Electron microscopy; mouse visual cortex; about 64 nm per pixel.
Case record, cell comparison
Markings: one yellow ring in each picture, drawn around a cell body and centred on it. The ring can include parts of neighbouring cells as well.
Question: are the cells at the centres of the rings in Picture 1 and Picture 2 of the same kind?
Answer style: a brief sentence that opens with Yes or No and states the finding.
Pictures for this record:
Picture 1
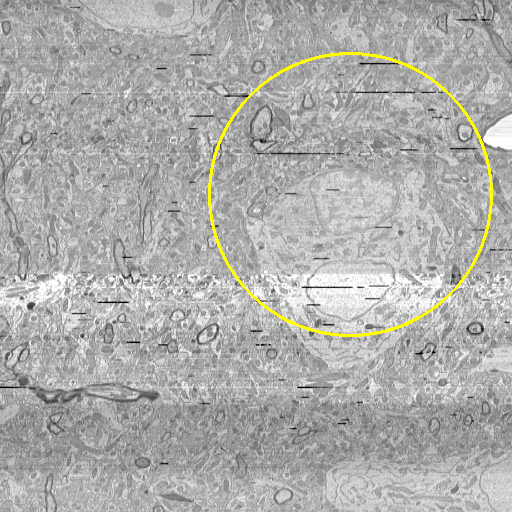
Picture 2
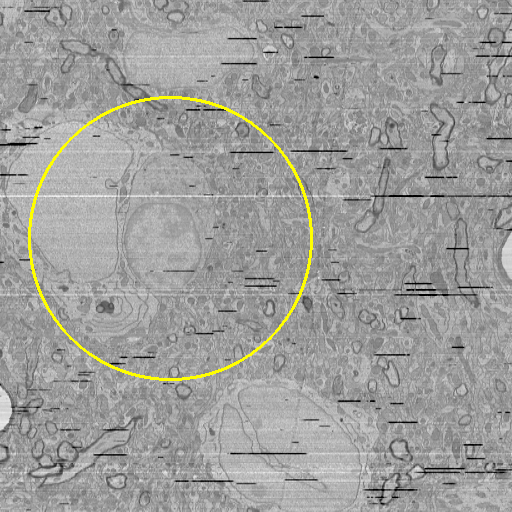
Yes, the cells in Picture 1 and Picture 2 are of the same kind.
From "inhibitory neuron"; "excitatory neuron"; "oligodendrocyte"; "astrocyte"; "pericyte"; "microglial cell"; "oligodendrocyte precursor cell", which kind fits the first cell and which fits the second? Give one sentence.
In the first picture and in the second, the ring is centred on an oligodendrocyte.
